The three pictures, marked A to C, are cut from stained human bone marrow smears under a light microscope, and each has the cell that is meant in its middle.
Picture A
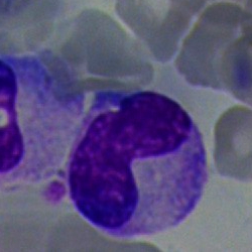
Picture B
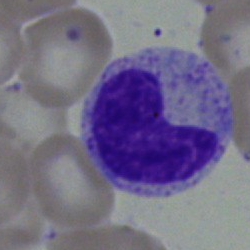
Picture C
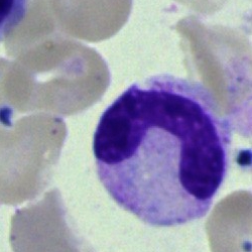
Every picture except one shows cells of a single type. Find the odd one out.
B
